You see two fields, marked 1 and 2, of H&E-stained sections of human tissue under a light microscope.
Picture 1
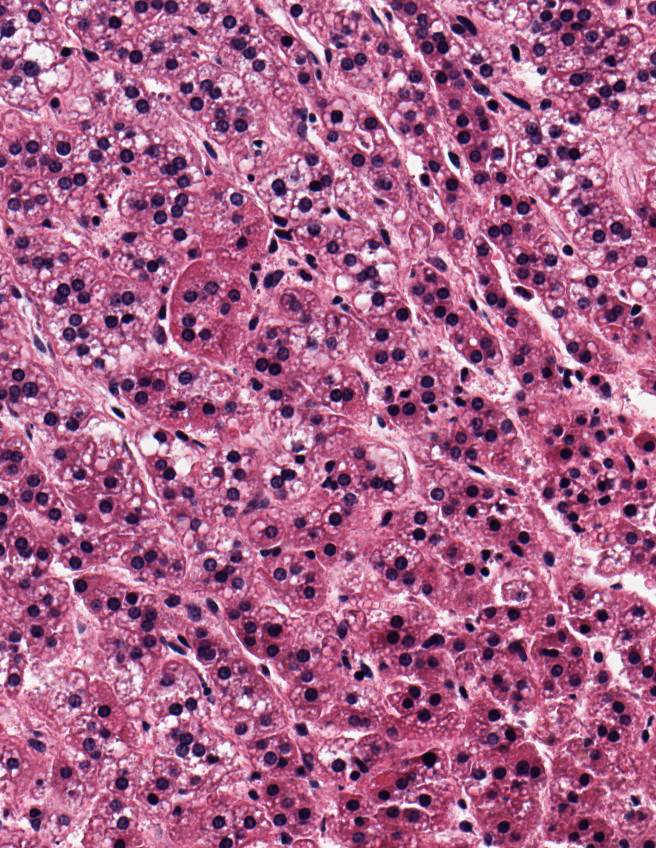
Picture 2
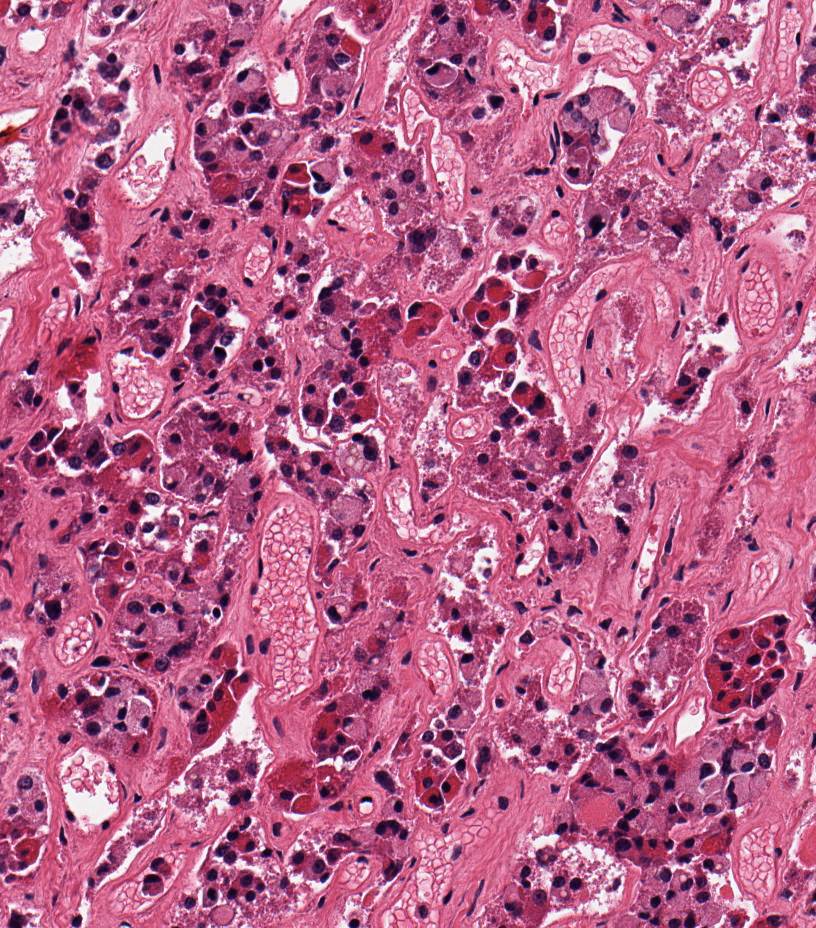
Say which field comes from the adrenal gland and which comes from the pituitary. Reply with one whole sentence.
Picture 1 comes from the adrenal gland and picture 2 comes from the pituitary.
